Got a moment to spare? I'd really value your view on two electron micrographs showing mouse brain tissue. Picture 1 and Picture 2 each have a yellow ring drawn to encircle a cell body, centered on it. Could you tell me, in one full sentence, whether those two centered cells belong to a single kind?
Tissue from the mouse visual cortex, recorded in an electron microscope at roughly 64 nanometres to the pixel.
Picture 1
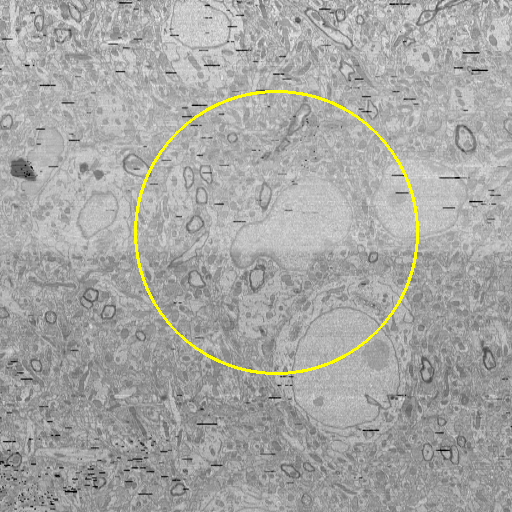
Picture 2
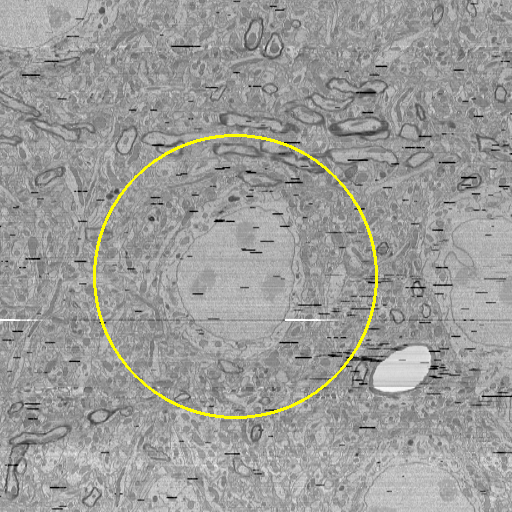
No, the two centered cells in Picture 1 and Picture 2 are of two kinds.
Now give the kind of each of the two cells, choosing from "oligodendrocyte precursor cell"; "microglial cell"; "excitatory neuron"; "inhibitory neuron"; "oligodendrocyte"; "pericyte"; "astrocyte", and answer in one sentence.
The cell in the first picture is an astrocyte, and the cell in the second is an excitatory neuron.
